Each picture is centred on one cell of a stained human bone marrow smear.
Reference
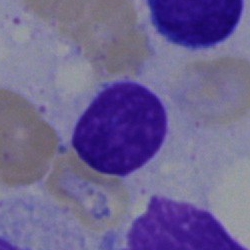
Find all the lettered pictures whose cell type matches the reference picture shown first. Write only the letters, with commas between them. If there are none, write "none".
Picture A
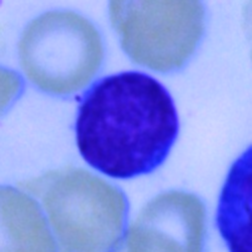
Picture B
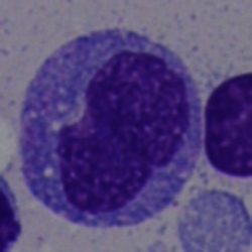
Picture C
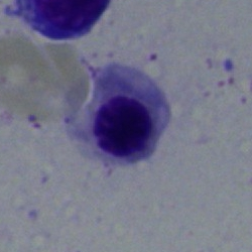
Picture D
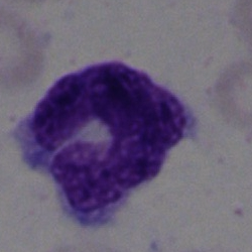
A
